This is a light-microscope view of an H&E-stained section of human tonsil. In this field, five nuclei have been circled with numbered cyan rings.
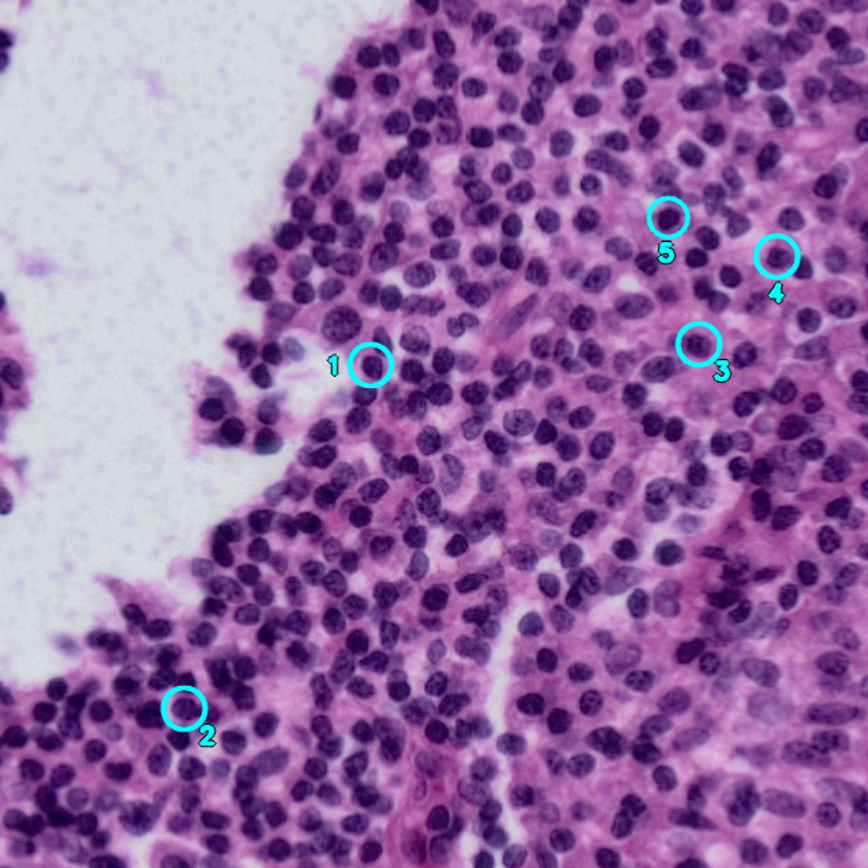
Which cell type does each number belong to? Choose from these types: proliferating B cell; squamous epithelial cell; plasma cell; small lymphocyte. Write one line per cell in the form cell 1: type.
cell 1: small lymphocyte
cell 2: small lymphocyte
cell 3: plasma cell
cell 4: plasma cell
cell 5: plasma cell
